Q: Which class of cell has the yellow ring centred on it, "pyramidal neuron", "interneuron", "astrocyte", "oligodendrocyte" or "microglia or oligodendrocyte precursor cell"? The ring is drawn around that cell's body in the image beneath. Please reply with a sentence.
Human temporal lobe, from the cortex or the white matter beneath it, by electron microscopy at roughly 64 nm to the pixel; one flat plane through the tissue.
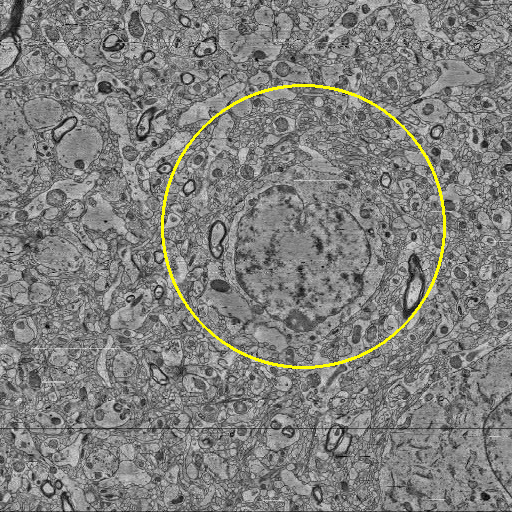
It is centred on an interneuron.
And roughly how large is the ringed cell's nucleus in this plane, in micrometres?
Approximately 10 by 8 micrometers in this plane.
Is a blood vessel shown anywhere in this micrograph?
No, a blood vessel is absent from this picture.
